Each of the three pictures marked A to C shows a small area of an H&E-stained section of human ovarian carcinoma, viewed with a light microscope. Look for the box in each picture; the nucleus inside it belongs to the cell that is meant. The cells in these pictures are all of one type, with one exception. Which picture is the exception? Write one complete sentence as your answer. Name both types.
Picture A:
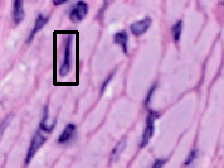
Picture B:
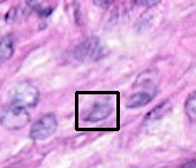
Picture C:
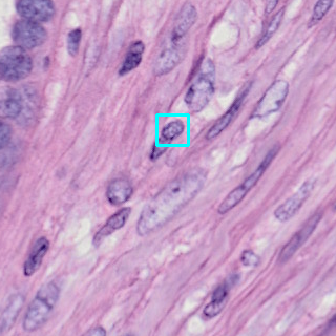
Picture C differs, because its cell is a “macrophage or monocyte” and the rest are fibroblasts.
